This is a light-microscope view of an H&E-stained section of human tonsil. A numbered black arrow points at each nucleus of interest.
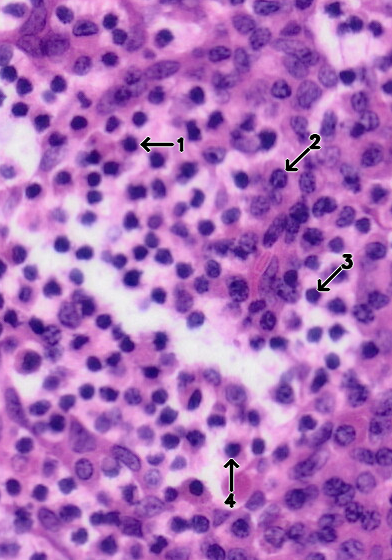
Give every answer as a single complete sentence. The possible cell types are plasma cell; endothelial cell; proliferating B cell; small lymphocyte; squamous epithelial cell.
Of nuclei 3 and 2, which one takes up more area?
It is nucleus 2, which covers about 1.5 times the area of nucleus 3.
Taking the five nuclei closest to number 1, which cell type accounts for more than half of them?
The majority of the five nuclei closest to number 1 belong to plasma cells.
